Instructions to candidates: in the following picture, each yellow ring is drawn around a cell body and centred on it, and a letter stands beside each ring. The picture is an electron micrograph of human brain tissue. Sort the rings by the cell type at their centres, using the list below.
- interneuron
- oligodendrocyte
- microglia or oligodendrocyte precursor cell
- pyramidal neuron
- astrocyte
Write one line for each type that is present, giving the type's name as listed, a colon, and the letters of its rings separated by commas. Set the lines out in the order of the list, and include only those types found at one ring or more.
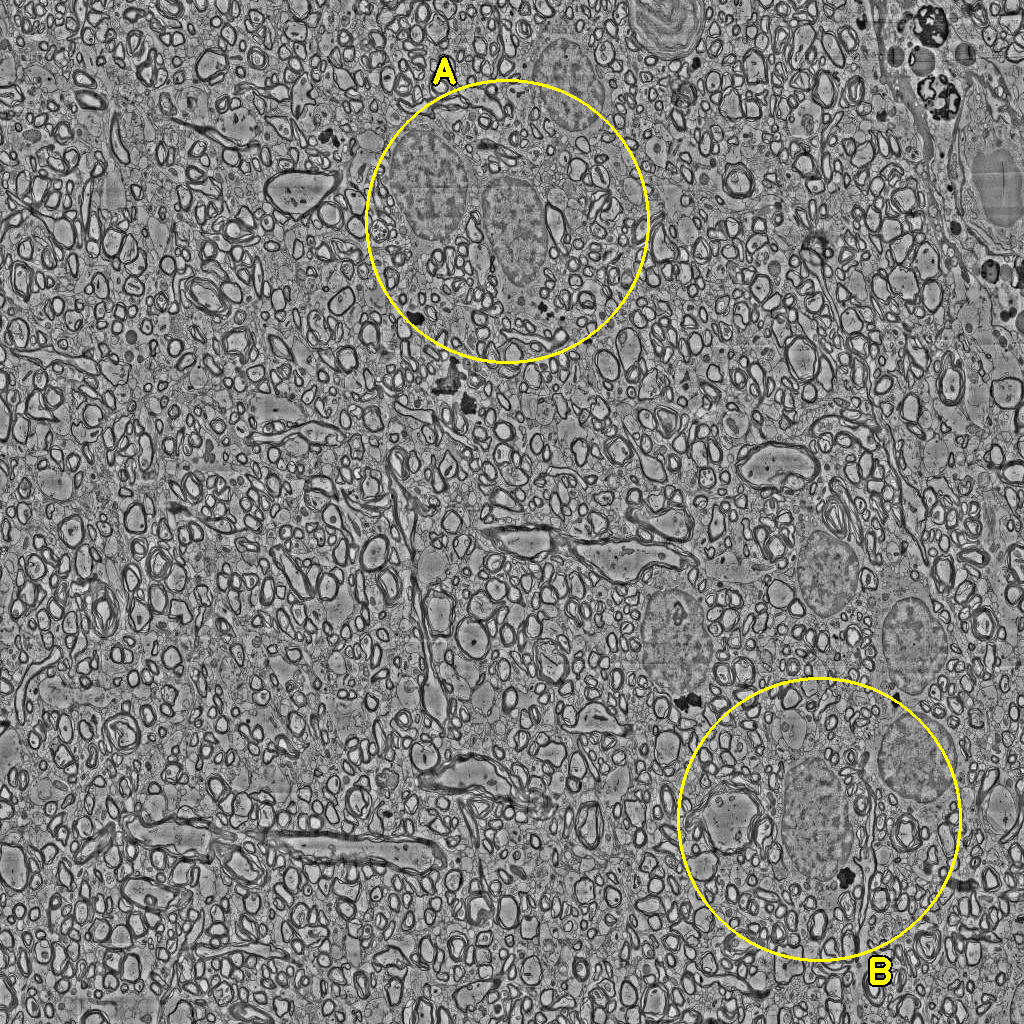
oligodendrocyte: A, B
